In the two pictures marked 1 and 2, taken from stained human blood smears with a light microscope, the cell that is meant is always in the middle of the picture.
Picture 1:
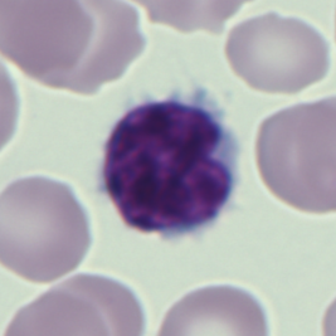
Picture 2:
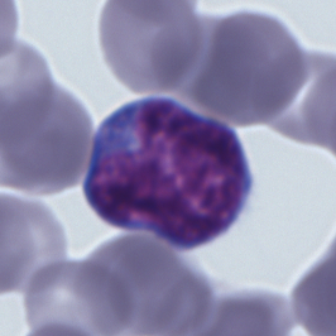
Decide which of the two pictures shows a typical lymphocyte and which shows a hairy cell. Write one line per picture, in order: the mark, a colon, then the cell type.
1: hairy cell
2: typical lymphocyte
